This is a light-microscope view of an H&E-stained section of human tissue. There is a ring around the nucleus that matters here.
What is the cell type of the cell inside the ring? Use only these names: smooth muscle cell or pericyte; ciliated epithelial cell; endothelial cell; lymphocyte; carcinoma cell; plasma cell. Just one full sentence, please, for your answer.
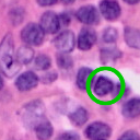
In this tissue section, the cell inside the ring is to be classed as a lymphocyte.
